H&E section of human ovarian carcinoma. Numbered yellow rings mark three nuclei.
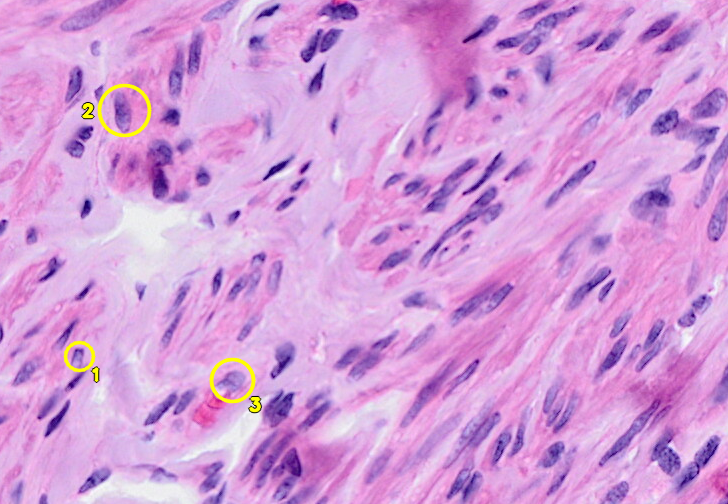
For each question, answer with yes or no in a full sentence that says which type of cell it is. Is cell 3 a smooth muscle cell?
No, the right label for cell 3 is an endothelial cell rather than a smooth muscle cell.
